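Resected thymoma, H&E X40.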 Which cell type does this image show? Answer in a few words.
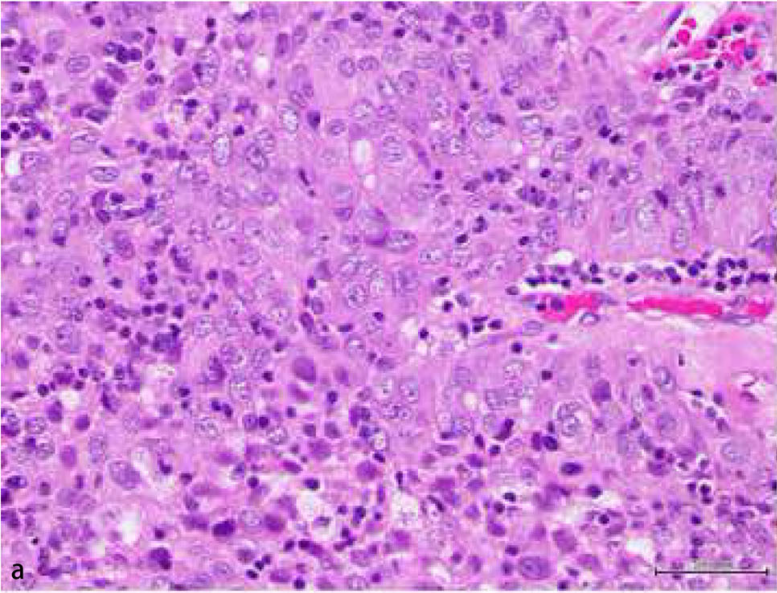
squamoid cells with vesicular nuclei and prominent nucleoli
